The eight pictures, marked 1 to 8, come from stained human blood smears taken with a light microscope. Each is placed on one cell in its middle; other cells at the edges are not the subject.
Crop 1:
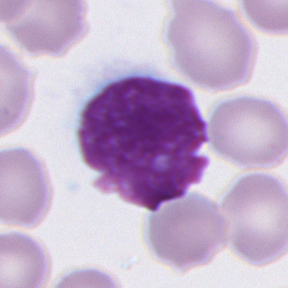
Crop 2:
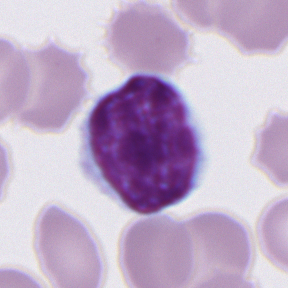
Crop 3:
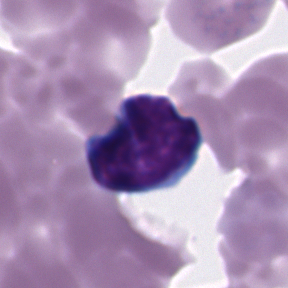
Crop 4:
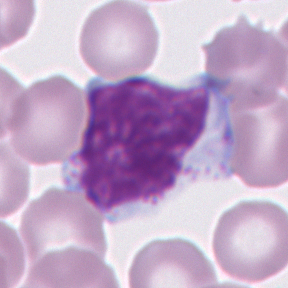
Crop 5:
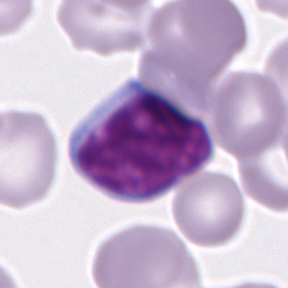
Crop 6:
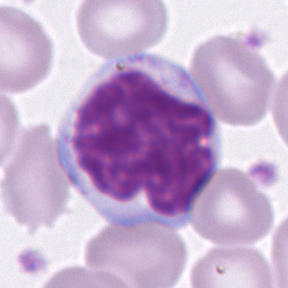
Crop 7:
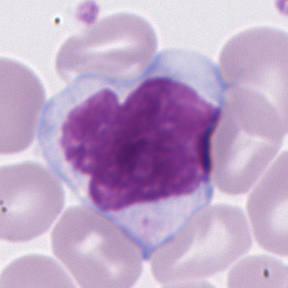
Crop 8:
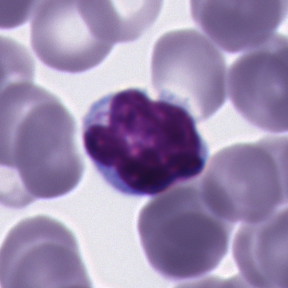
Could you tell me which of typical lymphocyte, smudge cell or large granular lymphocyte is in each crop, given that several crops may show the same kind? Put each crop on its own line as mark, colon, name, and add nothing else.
1: smudge cell
2: typical lymphocyte
3: typical lymphocyte
4: large granular lymphocyte
5: typical lymphocyte
6: large granular lymphocyte
7: large granular lymphocyte
8: typical lymphocyte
